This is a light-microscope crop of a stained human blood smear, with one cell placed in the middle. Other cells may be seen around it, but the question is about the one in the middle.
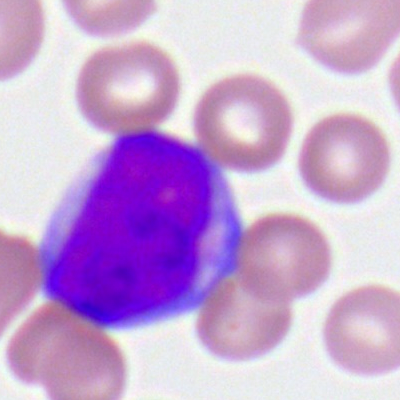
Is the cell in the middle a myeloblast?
yes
